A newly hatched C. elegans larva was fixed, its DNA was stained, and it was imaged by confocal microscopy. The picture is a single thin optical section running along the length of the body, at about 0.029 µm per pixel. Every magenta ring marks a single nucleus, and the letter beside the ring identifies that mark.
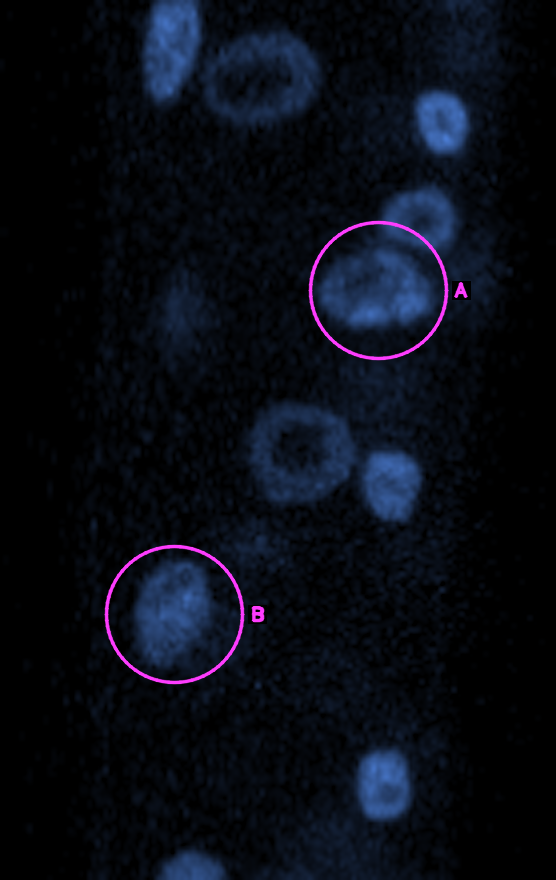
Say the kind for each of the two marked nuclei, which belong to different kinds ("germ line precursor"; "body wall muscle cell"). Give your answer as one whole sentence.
One is from a germ line precursor, namely A, and the other, B, is from a body wall muscle cell.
